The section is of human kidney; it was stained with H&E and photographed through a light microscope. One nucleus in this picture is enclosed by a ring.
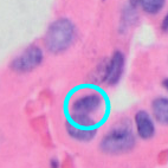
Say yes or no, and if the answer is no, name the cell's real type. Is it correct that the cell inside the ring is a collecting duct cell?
Yes.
